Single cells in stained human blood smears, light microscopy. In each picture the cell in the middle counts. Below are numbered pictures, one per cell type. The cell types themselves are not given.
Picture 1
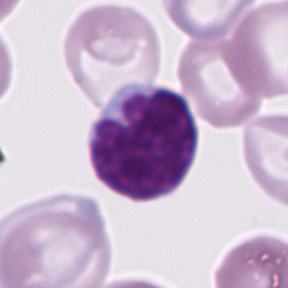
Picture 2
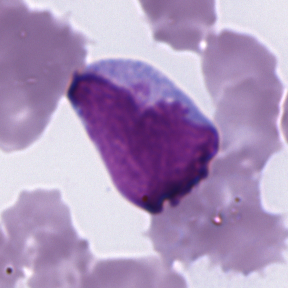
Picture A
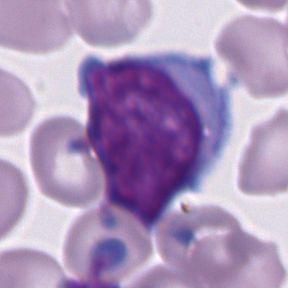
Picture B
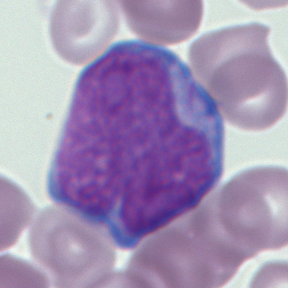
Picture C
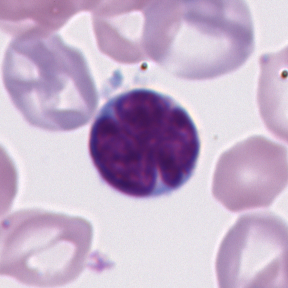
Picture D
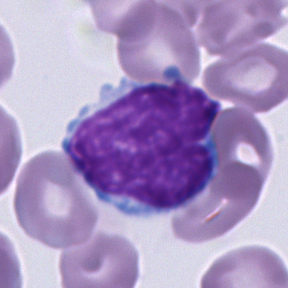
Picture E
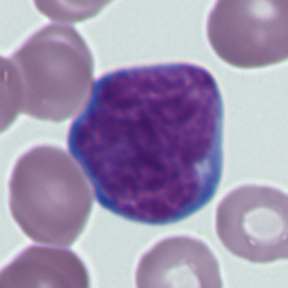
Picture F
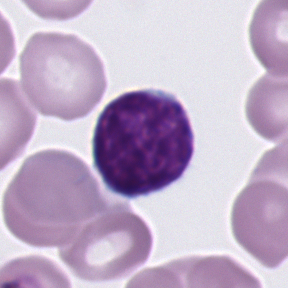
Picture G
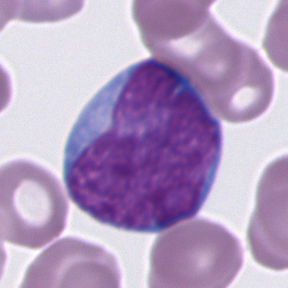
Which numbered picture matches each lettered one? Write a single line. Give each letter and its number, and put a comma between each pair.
A 2, B 2, C 1, D 2, E 2, F 1, G 2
